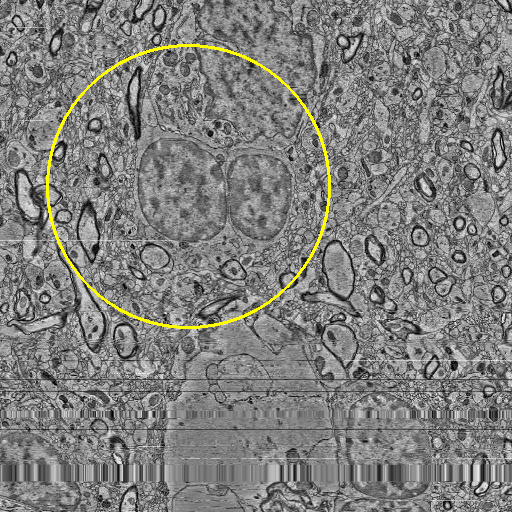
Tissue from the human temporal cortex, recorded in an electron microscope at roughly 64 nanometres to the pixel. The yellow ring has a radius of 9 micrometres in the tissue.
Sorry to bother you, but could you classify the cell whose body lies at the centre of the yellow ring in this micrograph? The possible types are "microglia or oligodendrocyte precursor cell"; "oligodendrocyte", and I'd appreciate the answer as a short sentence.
The ringed cell body is that of an oligodendrocyte.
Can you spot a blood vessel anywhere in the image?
Yes, there is a blood vessel in the image.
